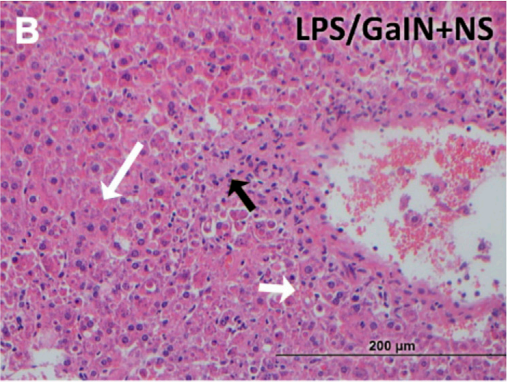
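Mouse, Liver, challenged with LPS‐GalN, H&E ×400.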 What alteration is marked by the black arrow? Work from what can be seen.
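A cluster of small cells with dark, compact nuclei lies among the hepatocytes at the arrow tip. These small dark nuclei are much smaller than the surrounding hepatocyte nuclei. On this evidence: inflammatory cell infiltration.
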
